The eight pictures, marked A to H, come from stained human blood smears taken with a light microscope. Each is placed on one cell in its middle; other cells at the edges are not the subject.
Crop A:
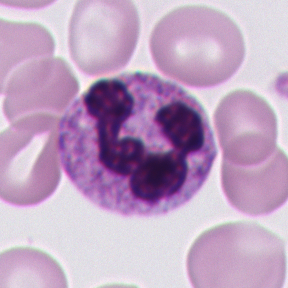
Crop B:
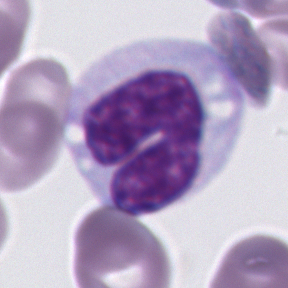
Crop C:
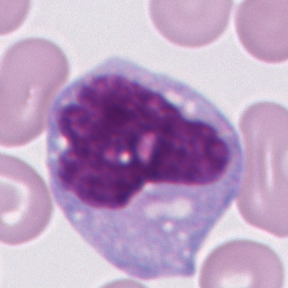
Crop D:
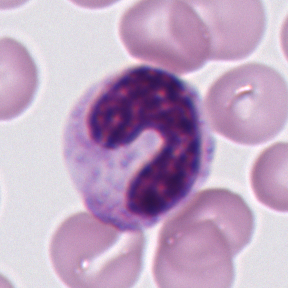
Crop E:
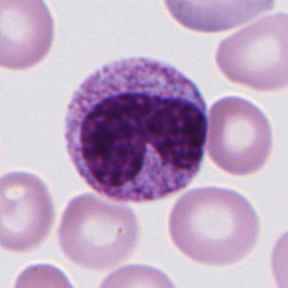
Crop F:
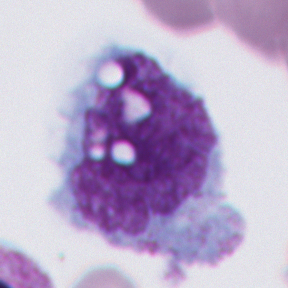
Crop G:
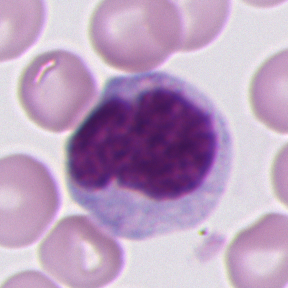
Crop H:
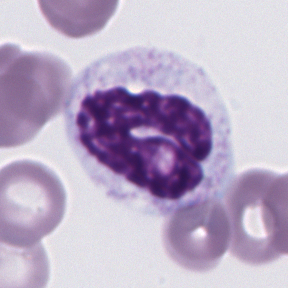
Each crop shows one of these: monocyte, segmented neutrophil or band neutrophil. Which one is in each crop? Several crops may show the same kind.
A: segmented neutrophil
B: band neutrophil
C: monocyte
D: band neutrophil
E: band neutrophil
F: monocyte
G: monocyte
H: band neutrophil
